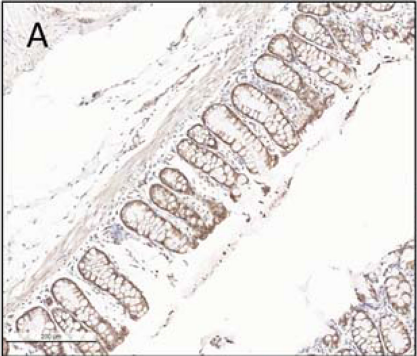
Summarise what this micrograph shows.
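This is colon wall with a row of straight, evenly spaced crypts cut along their length, resting on a thin layer of smooth muscle. The crypt epithelium is stained brown and contains many pale, rounded goblet-like cells. Thin strands of lamina propria with small nuclei separate neighbouring crypts. Beyond the muscle lies loose, pale connective tissue.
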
